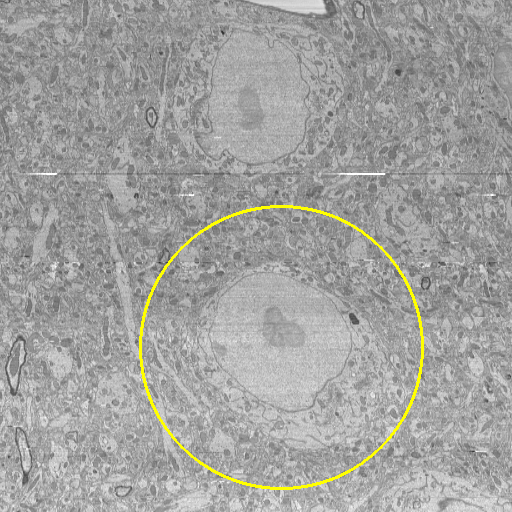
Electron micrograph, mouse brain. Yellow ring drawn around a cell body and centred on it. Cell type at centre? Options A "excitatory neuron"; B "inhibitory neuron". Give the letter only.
A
